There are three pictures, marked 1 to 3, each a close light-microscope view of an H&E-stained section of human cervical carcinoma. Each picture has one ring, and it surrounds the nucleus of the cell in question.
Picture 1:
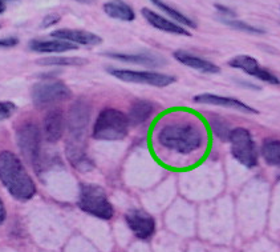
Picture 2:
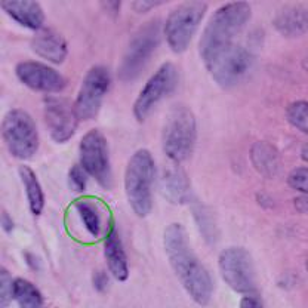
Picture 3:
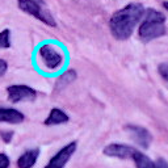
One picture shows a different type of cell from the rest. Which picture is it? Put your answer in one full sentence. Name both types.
Picture 1 is the odd one out: it shows a secretory epithelial cell, while the others show fibroblasts.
